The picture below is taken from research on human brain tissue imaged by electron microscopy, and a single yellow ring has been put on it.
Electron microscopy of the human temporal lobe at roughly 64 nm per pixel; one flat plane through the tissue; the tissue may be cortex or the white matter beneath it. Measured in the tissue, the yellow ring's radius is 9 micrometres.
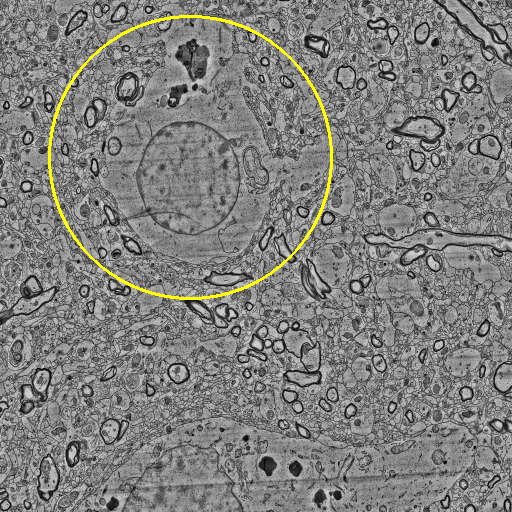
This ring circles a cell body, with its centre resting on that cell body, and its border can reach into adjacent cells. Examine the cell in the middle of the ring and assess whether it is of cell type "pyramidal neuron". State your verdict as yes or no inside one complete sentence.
No, in the picture, the cell lying at the centre of the ring is of a different type.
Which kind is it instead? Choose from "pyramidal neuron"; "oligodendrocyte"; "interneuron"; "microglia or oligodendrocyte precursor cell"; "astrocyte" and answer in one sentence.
Instead, the picture shows an astrocyte at the centre of the ring.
